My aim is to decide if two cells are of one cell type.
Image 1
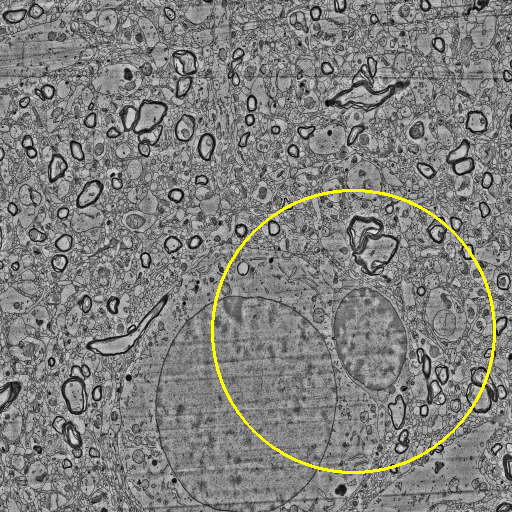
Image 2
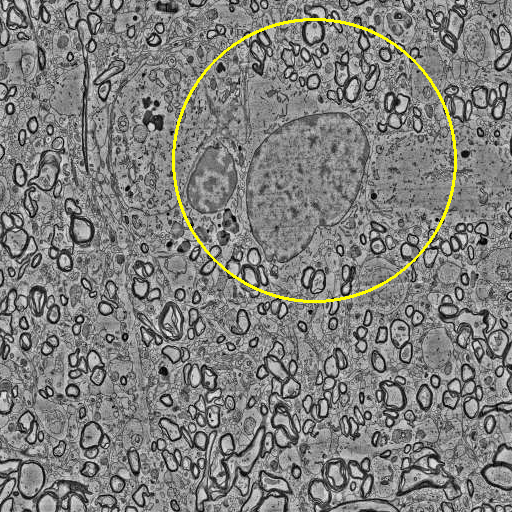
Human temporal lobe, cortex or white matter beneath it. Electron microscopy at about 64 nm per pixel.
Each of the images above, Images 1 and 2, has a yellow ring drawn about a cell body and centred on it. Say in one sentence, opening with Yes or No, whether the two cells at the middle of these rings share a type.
No, in Images 1 and 2 the cells at the middle of the rings fall into two types.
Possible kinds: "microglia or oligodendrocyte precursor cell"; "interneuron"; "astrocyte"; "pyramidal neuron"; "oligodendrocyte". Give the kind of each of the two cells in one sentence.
The cell in the second picture is a microglial cell or oligodendrocyte precursor cell, and that in the first is an oligodendrocyte.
